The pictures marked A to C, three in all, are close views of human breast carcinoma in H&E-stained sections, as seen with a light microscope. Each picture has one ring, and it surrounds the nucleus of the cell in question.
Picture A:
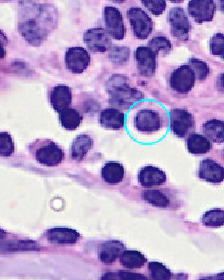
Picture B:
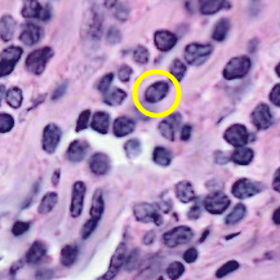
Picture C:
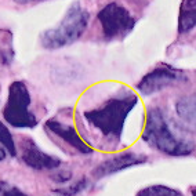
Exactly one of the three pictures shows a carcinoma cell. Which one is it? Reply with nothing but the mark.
C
